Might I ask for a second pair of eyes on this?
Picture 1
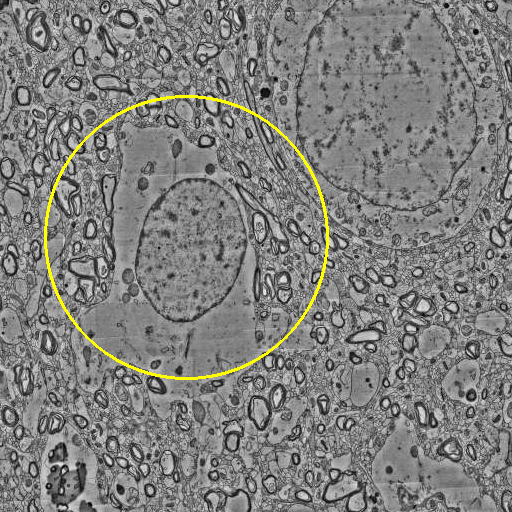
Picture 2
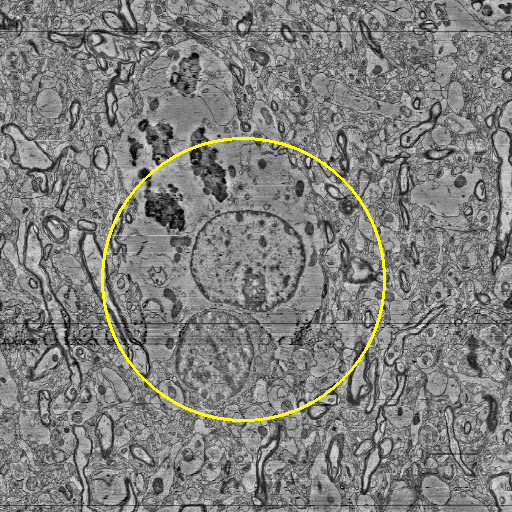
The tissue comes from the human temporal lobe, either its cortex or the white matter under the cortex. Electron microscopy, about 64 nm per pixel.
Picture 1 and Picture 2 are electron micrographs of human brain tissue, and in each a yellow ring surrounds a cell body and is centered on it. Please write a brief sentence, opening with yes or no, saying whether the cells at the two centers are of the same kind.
Yes, the cells are of the same kind.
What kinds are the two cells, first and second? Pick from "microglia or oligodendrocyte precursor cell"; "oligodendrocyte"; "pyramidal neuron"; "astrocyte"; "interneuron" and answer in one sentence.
The ring centre holds an astrocyte in each of the two pictures.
